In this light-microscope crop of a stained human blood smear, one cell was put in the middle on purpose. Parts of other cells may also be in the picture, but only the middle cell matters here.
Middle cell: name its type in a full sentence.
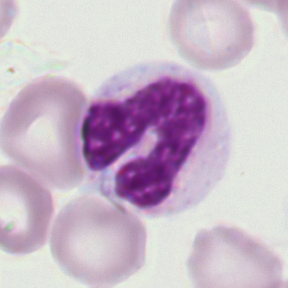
The cell at the heart of this crop is a band neutrophil.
